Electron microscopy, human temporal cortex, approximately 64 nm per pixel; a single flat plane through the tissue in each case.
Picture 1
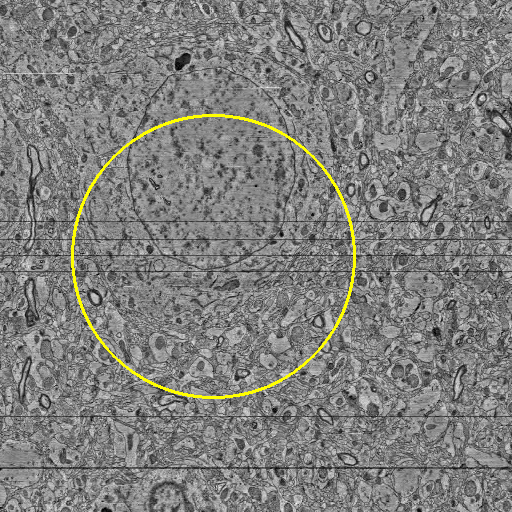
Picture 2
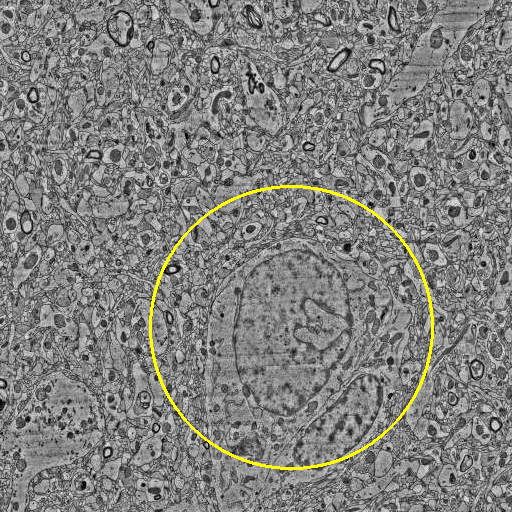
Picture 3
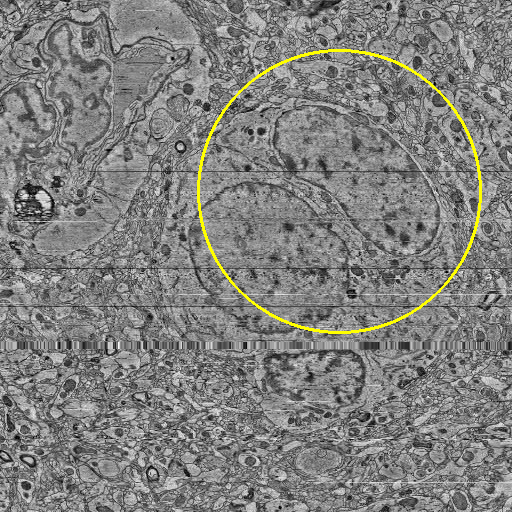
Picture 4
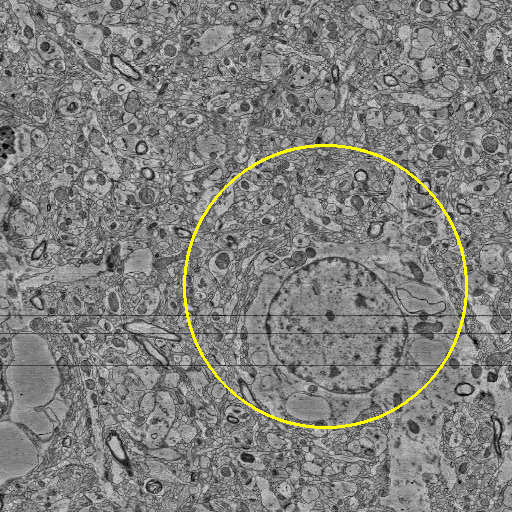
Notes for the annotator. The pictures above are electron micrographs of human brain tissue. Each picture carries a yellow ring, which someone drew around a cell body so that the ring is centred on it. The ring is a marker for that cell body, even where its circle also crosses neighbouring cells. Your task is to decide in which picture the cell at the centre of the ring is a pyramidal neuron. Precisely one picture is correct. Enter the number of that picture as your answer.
1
